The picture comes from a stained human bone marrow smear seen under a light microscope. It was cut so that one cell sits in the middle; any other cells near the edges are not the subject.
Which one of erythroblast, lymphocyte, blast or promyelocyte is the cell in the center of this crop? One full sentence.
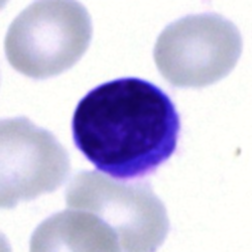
Here the centrally located cell is a lymphocyte.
